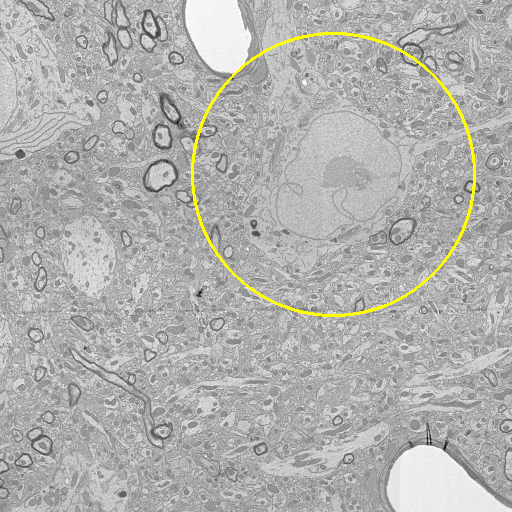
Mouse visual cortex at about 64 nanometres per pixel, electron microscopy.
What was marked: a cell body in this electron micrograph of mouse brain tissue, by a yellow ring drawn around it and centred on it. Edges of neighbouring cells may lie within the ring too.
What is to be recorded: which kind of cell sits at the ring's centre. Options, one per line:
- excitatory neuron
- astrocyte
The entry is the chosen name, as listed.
excitatory neuron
